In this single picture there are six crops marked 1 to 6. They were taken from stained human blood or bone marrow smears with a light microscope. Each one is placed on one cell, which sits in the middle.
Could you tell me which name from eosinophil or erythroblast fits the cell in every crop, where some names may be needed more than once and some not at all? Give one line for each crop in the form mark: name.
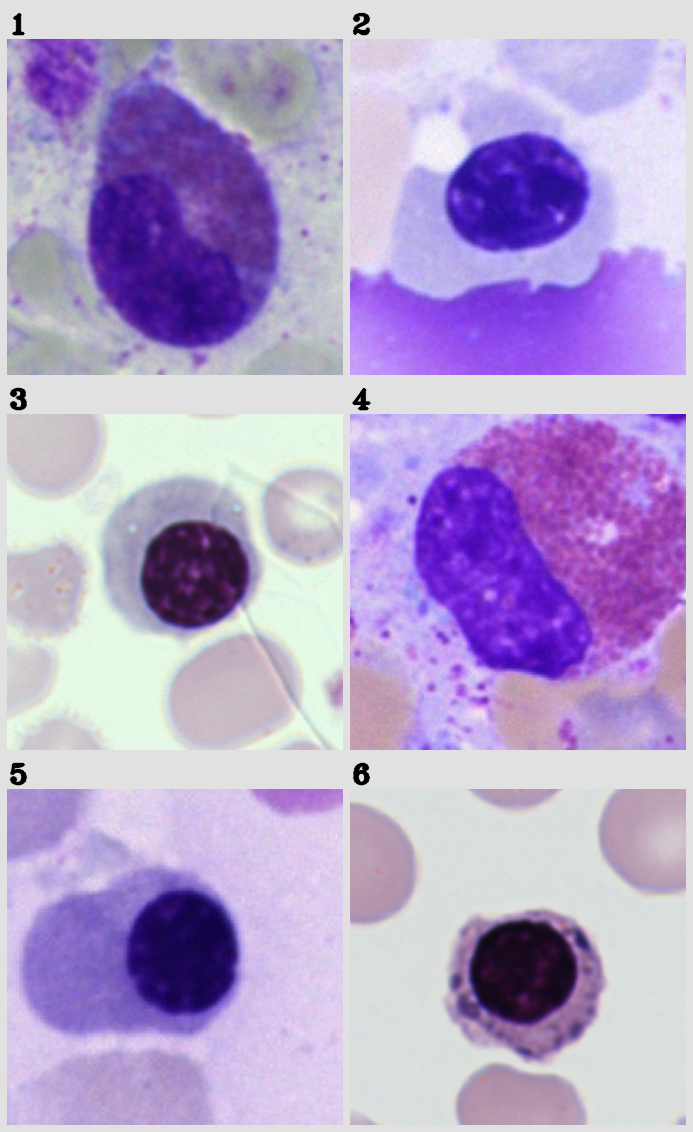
1: eosinophil
2: erythroblast
3: erythroblast
4: eosinophil
5: erythroblast
6: erythroblast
